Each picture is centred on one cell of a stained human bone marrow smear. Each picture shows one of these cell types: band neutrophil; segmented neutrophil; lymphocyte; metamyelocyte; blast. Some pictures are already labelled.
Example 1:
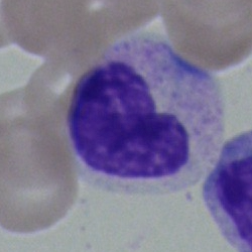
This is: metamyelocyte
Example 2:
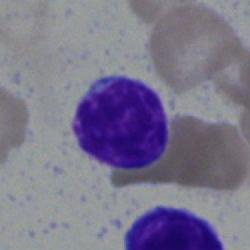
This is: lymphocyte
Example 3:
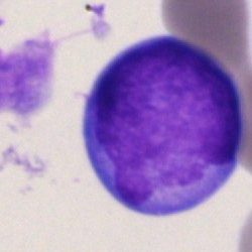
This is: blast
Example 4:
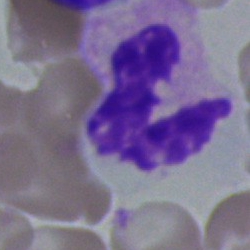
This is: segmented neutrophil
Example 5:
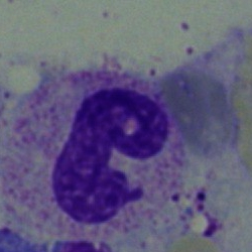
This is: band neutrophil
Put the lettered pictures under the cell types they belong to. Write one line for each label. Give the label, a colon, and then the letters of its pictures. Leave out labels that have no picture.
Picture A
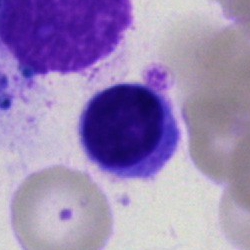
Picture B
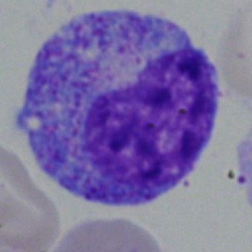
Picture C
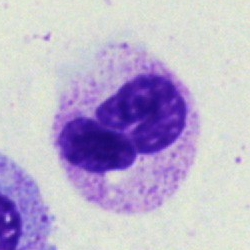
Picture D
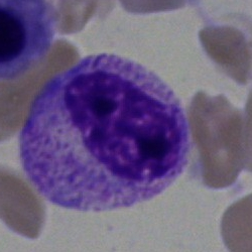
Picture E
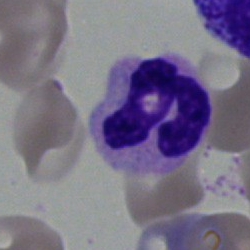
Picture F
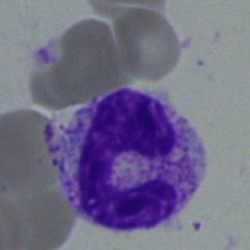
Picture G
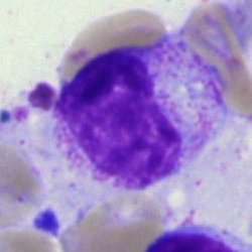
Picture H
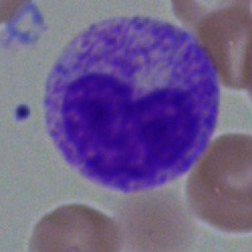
band neutrophil: F
segmented neutrophil: C, E
lymphocyte: A
metamyelocyte: B, D, G, H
